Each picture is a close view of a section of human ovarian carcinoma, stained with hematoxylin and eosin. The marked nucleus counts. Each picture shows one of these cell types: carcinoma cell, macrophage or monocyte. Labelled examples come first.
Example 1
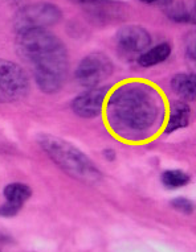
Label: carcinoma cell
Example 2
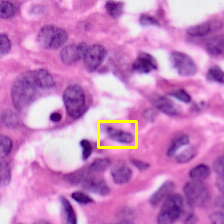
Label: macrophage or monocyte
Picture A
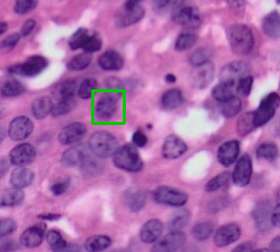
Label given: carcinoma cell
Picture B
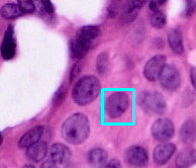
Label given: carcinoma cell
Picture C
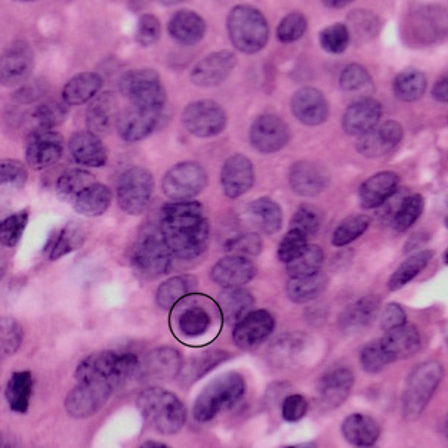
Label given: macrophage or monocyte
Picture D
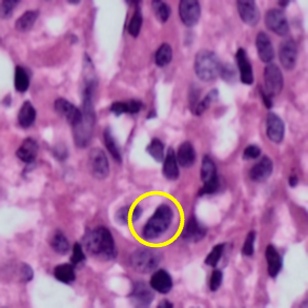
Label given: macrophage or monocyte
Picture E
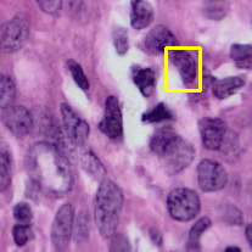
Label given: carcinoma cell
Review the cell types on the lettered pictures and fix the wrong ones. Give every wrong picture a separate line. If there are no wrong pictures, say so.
C: change macrophage or monocyte to carcinoma cell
